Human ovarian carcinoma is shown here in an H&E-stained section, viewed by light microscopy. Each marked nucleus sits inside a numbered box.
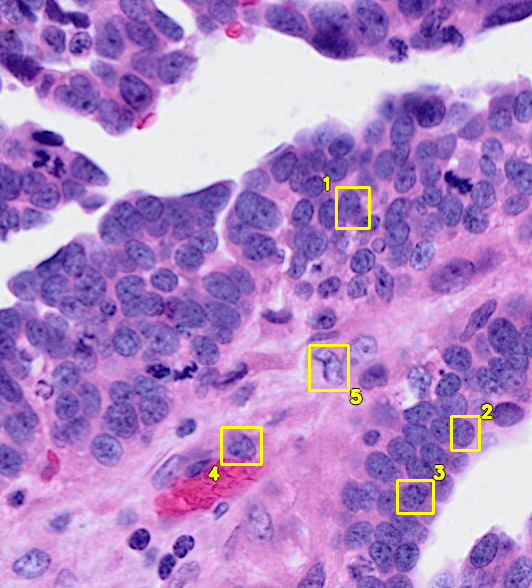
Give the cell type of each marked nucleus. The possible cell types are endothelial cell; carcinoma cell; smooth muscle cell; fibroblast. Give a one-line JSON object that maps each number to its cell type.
{"1": "carcinoma cell", "2": "carcinoma cell", "3": "carcinoma cell", "4": "endothelial cell", "5": "fibroblast"}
